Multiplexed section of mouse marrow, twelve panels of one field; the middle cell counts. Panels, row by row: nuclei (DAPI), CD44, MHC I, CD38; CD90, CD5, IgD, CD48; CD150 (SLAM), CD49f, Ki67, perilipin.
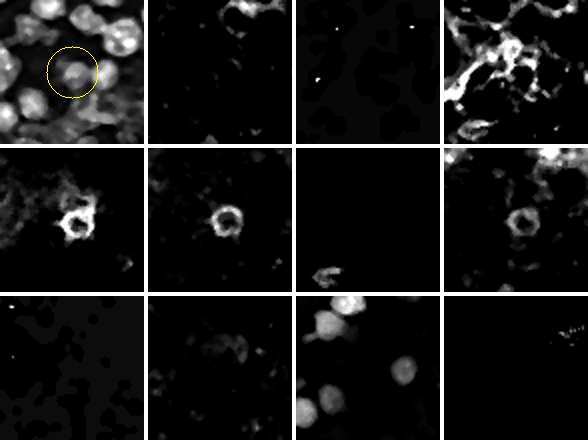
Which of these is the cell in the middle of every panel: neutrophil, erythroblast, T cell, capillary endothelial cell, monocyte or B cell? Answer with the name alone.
capillary endothelial cell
